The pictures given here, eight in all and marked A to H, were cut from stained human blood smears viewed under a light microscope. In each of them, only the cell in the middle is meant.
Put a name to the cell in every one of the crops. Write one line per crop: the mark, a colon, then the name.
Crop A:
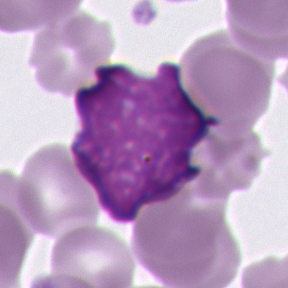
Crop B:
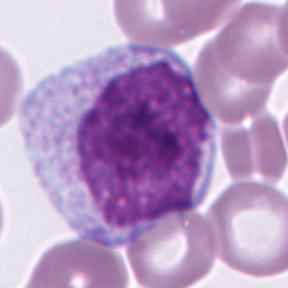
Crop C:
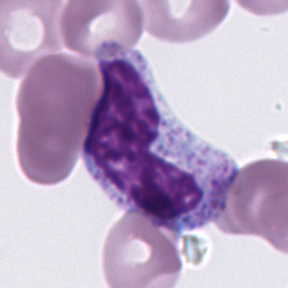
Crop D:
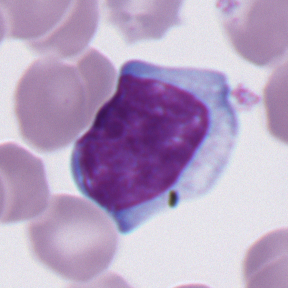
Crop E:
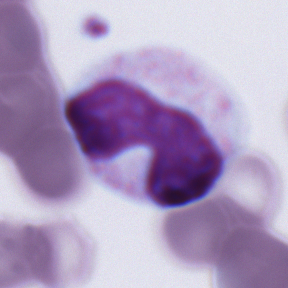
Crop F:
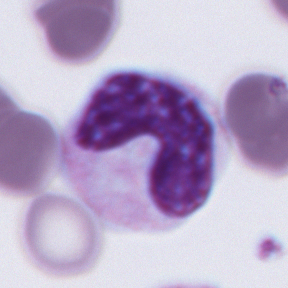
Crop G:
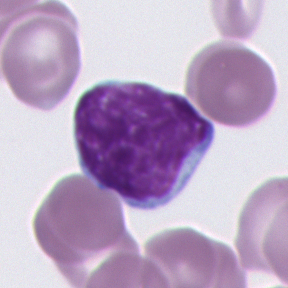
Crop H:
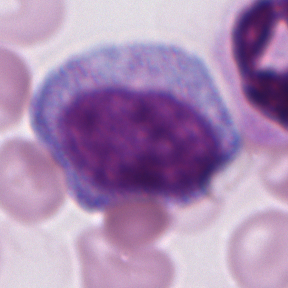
A: smudge cell
B: promyelocyte
C: metamyelocyte
D: typical lymphocyte
E: band neutrophil
F: band neutrophil
G: myeloblast
H: promyelocyte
